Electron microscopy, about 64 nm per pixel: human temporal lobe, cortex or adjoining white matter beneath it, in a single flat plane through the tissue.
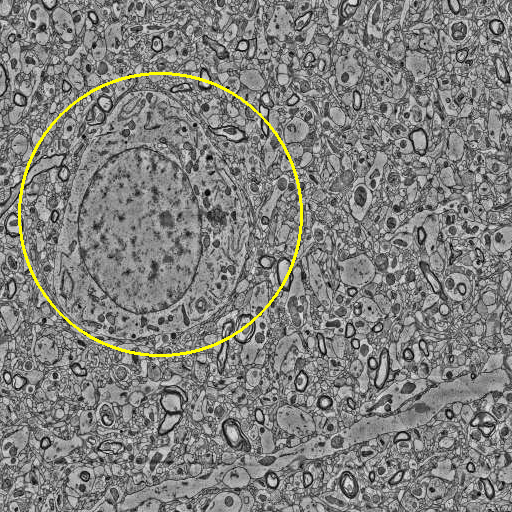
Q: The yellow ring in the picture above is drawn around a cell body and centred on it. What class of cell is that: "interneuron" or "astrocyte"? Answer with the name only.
interneuron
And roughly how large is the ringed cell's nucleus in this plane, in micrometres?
The nucleus is approximately 11 micrometers long by 8 micrometers wide in this plane.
